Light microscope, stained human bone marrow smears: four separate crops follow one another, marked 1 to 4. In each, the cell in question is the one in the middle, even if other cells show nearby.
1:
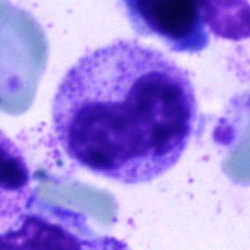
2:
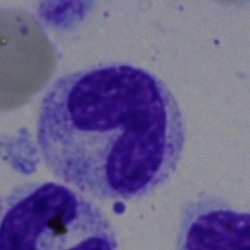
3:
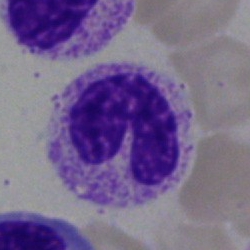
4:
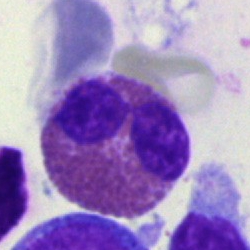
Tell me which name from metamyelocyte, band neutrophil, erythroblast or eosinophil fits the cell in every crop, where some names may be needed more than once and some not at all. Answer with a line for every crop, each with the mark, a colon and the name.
1: metamyelocyte
2: band neutrophil
3: band neutrophil
4: eosinophil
